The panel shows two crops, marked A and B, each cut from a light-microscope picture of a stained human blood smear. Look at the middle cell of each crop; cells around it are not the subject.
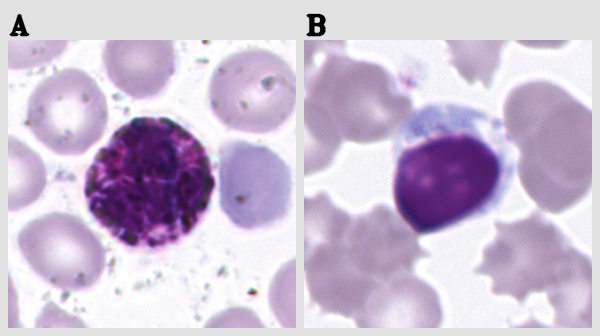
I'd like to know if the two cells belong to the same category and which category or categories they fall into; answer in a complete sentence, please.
No, crop A offers a basophil, while crop B offers a lymphocyte.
